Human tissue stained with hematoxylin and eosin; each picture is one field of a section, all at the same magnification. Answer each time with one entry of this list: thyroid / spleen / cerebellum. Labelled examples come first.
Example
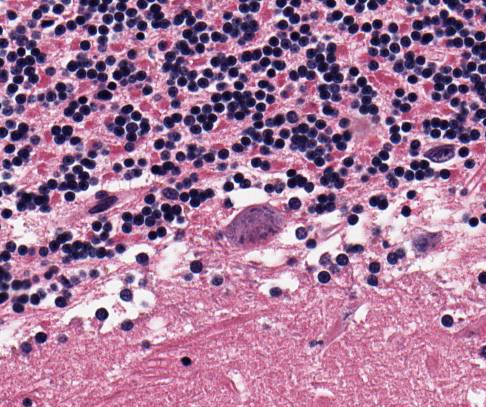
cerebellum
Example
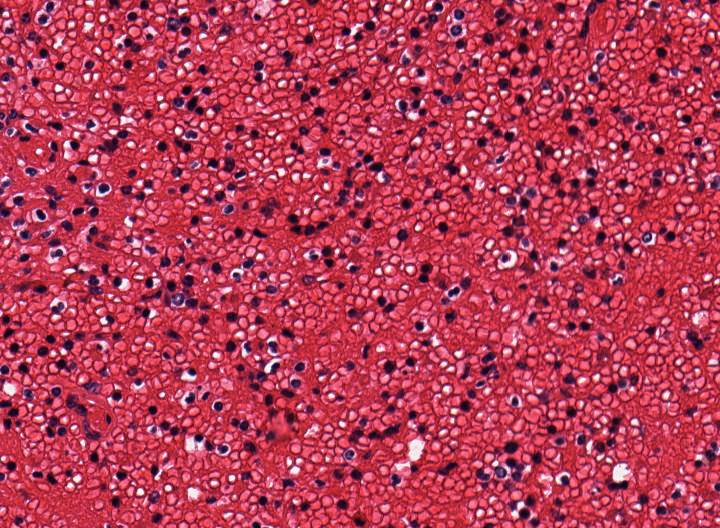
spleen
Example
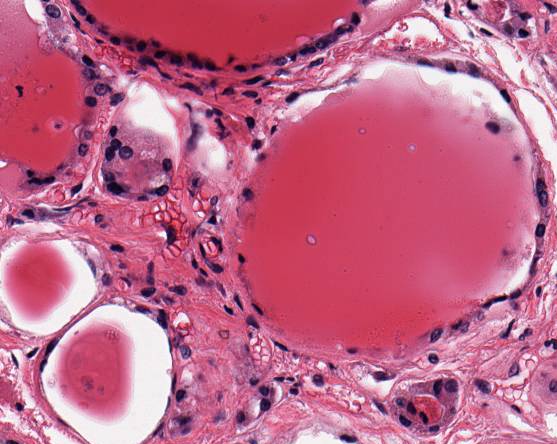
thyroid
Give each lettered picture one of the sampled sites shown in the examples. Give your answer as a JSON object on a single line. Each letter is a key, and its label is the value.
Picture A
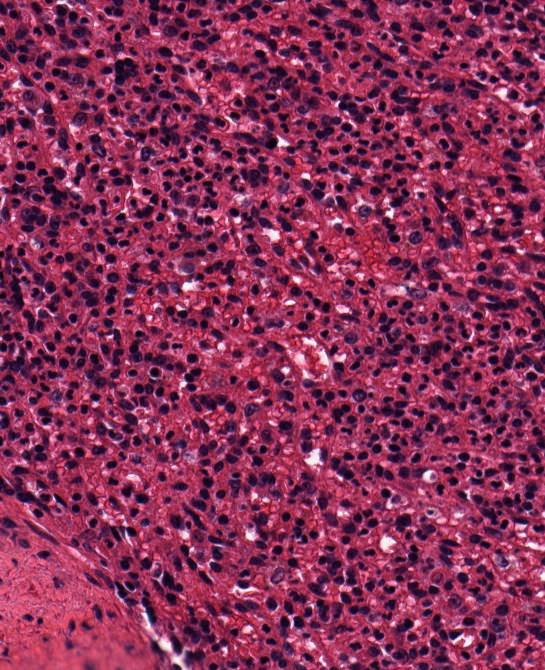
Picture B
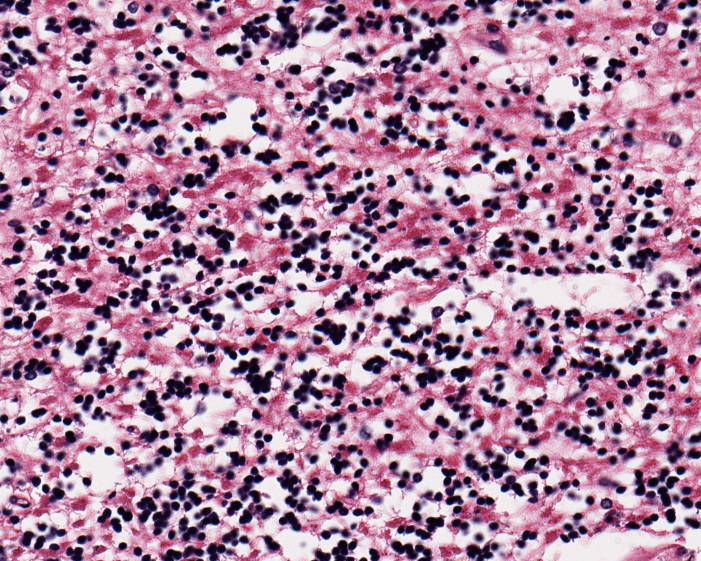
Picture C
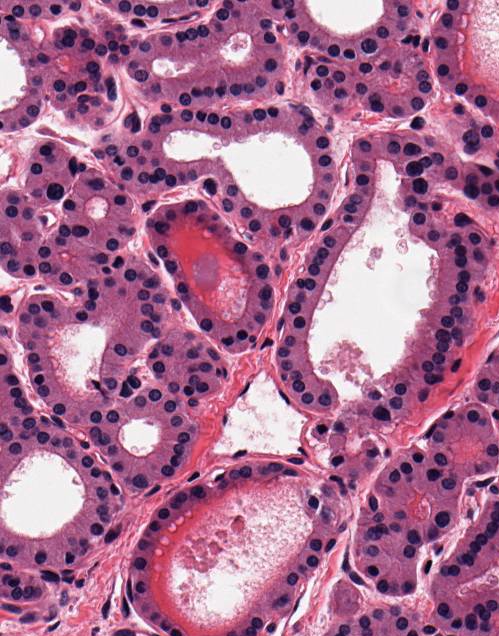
{"A": "spleen", "B": "cerebellum", "C": "thyroid"}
